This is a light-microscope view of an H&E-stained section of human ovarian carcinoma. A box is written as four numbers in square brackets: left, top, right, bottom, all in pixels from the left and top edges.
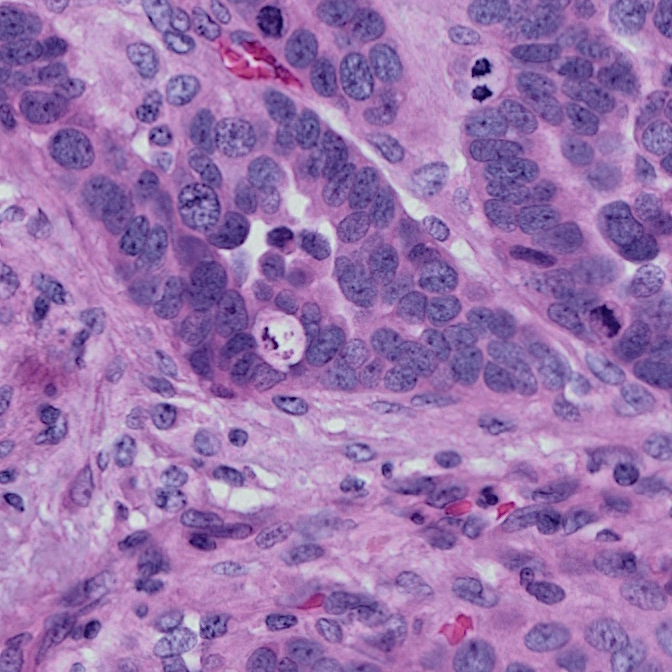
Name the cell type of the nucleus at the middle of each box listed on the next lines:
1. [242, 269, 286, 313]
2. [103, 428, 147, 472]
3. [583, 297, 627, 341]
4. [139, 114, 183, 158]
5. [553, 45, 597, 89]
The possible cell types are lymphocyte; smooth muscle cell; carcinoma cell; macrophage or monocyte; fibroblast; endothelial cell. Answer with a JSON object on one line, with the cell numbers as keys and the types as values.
{"1": "carcinoma cell", "2": "fibroblast", "3": "carcinoma cell", "4": "macrophage or monocyte", "5": "carcinoma cell"}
